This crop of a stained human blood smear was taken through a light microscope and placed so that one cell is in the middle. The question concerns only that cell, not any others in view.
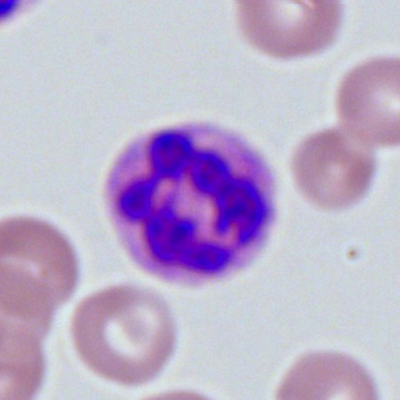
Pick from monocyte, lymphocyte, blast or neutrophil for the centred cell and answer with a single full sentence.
The centrally positioned cell in the crop represents a neutrophil.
